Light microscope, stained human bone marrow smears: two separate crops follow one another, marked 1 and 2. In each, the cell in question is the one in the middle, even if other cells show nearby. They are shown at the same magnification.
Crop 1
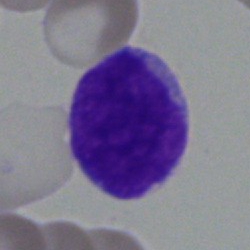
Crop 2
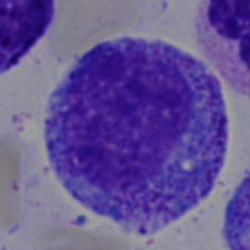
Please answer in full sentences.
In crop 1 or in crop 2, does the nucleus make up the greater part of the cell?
In crop 1 the nucleus takes up the larger part of its cell.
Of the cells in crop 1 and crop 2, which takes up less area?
It is the cell in crop 1; the cell in crop 2 has about 2 times its area.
